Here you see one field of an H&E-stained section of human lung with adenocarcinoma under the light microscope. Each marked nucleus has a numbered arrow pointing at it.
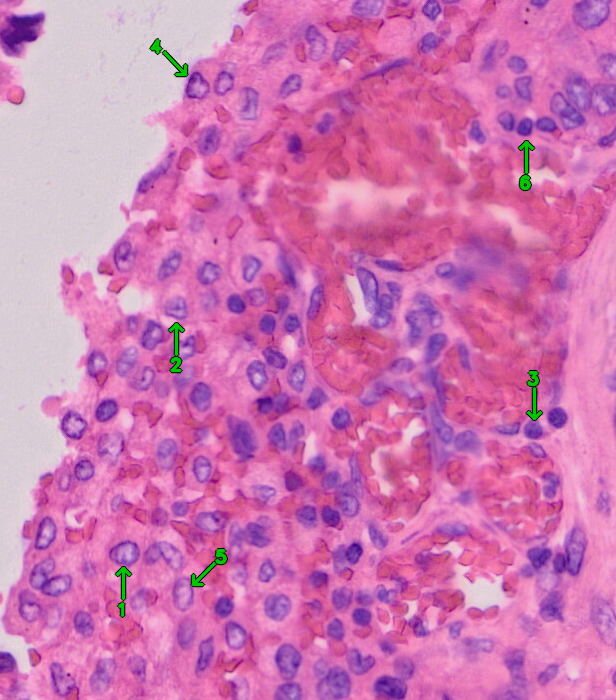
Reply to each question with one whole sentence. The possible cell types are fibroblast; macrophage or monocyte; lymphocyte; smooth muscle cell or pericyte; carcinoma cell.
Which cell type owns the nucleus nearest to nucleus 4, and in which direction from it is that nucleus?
The nearest one is a macrophage or monocyte, found to the right of nucleus 4.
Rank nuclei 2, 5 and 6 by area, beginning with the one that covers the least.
From smallest to largest, the order is 6, 2, 5.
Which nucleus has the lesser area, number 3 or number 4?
Nucleus 3 covers less area, with nucleus 4 about 1.5 times as large.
